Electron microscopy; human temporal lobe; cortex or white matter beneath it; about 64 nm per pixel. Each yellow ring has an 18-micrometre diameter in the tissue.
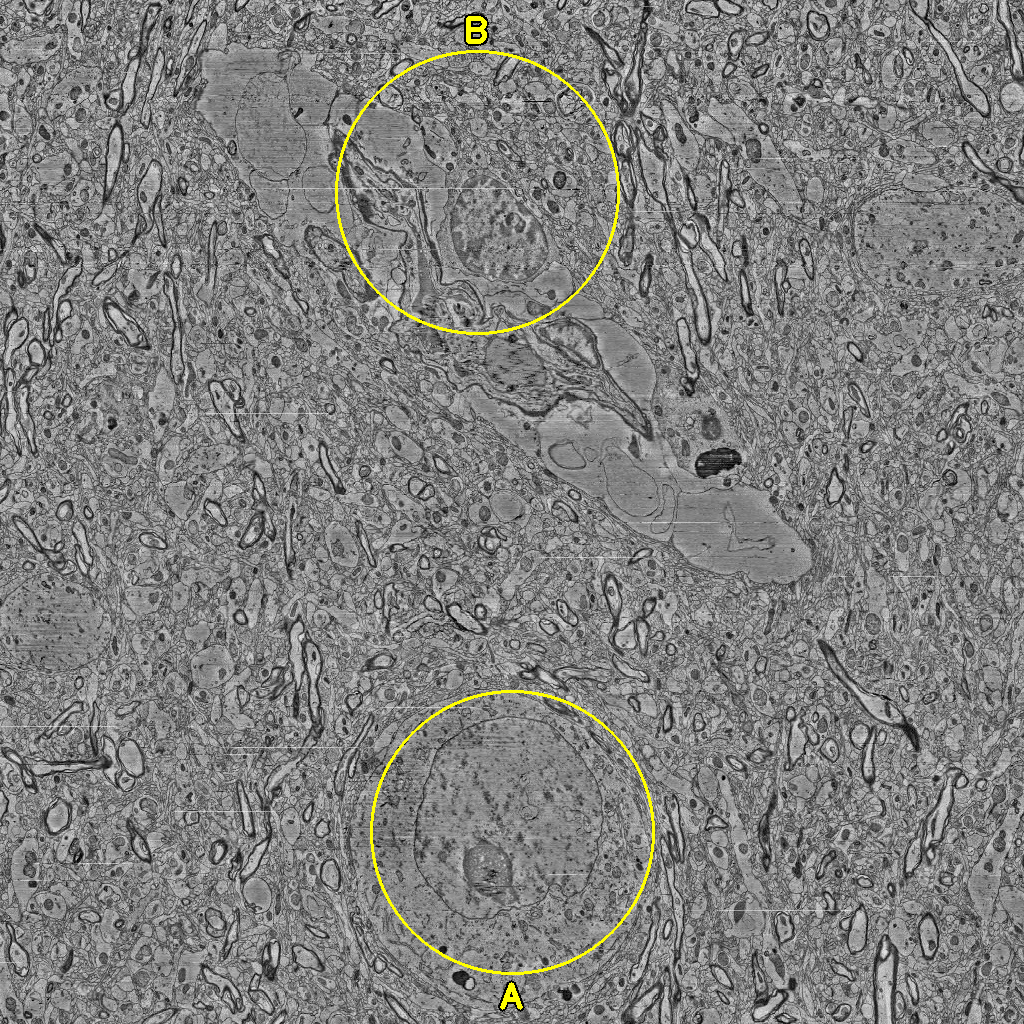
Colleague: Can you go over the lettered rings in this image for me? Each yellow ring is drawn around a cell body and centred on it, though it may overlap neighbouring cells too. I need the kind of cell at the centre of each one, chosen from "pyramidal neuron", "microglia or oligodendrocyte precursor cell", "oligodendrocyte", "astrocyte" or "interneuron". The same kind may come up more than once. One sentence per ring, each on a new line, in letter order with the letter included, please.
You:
Ring A marks the cell body of a pyramidal neuron.
Ring B marks the cell body of an oligodendrocyte.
